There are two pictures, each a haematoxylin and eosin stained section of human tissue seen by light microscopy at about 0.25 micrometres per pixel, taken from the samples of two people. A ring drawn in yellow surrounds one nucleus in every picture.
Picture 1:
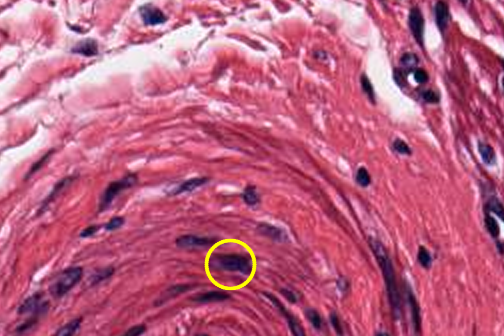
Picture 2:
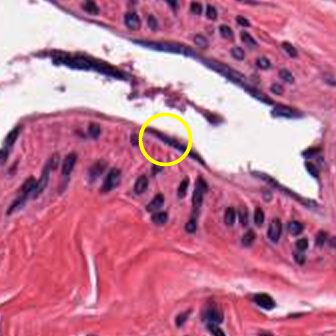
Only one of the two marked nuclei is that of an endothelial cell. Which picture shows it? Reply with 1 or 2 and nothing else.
2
